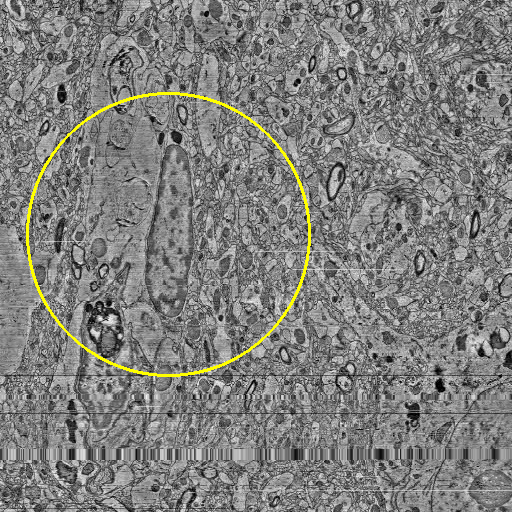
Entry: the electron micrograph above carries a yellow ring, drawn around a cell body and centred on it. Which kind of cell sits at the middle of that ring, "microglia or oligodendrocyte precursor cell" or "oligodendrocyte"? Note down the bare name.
microglia or oligodendrocyte precursor cell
